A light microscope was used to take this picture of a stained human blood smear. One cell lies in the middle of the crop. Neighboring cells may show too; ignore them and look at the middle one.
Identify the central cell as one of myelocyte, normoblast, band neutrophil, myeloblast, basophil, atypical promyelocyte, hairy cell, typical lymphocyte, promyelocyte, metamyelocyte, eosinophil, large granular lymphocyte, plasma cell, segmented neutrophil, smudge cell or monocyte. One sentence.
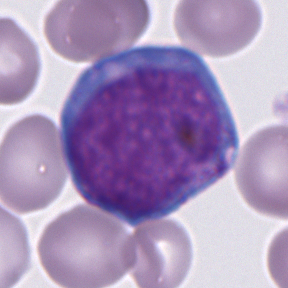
Located at the centre of the crop is a myeloblast.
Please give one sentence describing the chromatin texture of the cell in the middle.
Coarse clumps are absent, and the chromatin is fine throughout.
